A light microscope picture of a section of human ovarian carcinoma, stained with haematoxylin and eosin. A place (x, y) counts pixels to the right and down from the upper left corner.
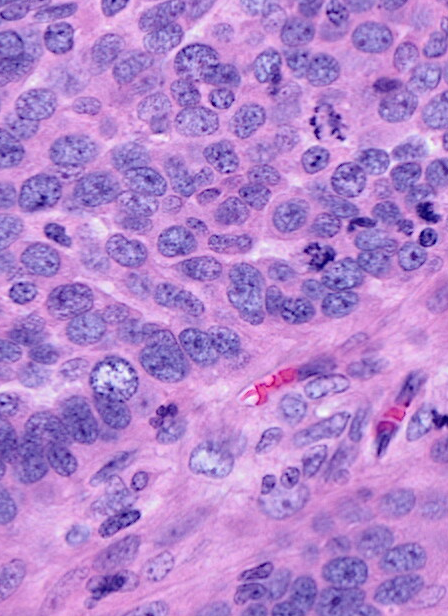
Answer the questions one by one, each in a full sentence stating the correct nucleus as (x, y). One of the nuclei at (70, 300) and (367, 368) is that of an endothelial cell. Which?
The nucleus found at (367, 368) belongs to an endothelial cell.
